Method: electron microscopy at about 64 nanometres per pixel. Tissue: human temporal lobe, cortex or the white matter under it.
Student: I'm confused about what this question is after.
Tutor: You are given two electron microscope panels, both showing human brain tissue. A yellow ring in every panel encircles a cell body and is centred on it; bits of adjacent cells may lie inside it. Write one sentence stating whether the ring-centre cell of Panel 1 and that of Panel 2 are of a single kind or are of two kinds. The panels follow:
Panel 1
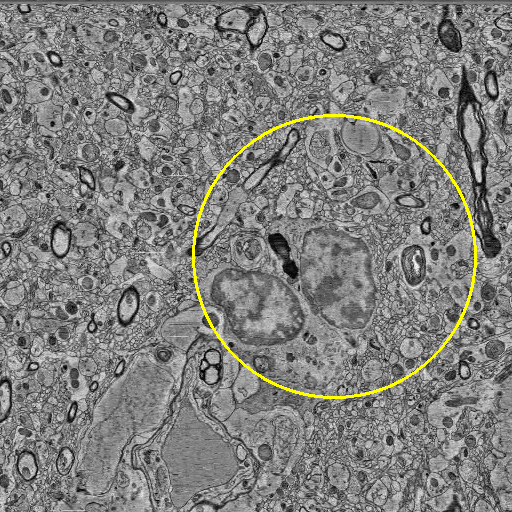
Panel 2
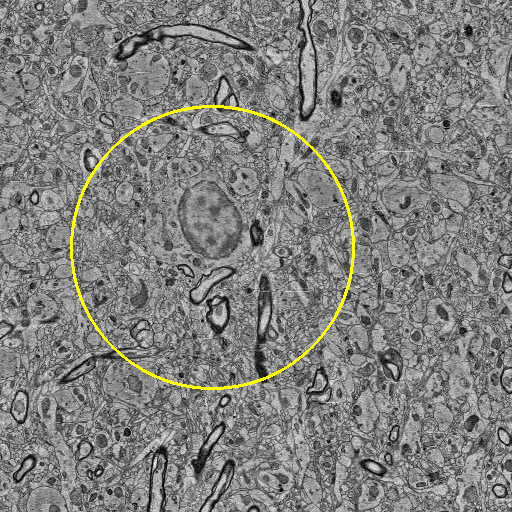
Here, the Panel 1 ring-centre cell and the Panel 2 ring-centre cell are of a single kind.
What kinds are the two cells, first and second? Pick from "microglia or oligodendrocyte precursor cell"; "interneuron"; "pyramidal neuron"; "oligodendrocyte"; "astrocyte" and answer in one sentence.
In each of the two pictures, the ringed cell is an oligodendrocyte.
